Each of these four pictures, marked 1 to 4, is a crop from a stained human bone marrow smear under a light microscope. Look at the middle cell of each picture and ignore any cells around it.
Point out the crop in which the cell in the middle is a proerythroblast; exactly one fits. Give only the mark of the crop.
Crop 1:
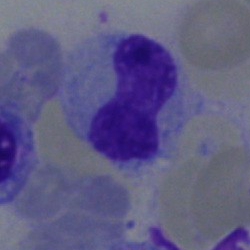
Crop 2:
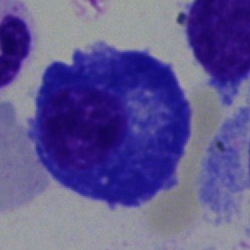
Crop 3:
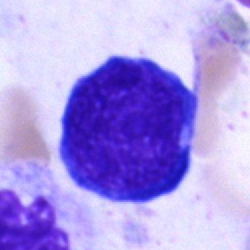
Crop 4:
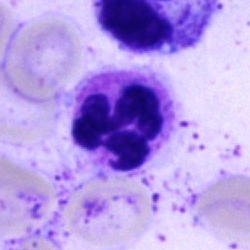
3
